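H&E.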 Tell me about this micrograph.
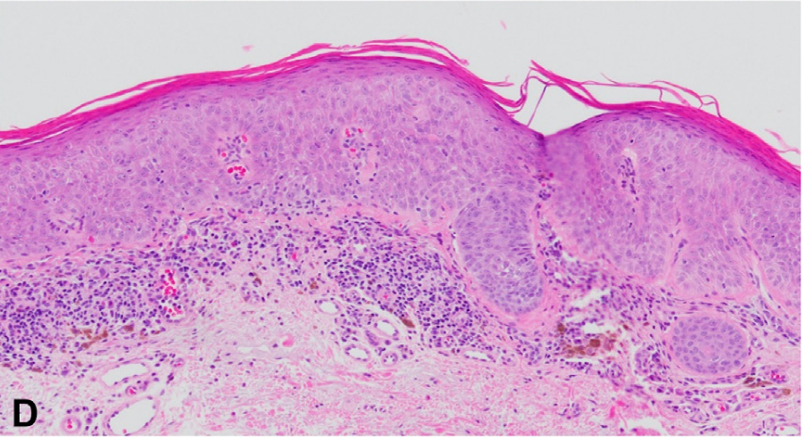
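The epidermis is thickened and covered by a compact pink cornified layer, and a dense band of small cells with dark nuclei crowds the upper dermis right against its base. Brown pigment granules lie scattered among these cells, and a few of the dark cells sit within the lower epidermis.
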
